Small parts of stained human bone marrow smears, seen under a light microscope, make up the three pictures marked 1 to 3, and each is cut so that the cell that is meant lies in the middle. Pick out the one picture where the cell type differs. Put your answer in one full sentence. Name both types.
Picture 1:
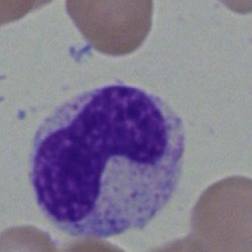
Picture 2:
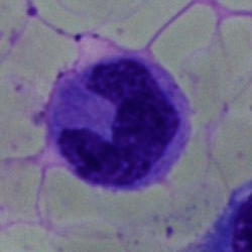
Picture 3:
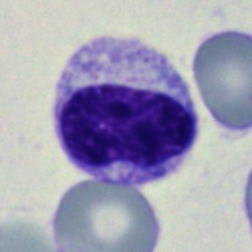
All pictures except 2 show metamyelocytes; picture 2 shows a monocyte.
